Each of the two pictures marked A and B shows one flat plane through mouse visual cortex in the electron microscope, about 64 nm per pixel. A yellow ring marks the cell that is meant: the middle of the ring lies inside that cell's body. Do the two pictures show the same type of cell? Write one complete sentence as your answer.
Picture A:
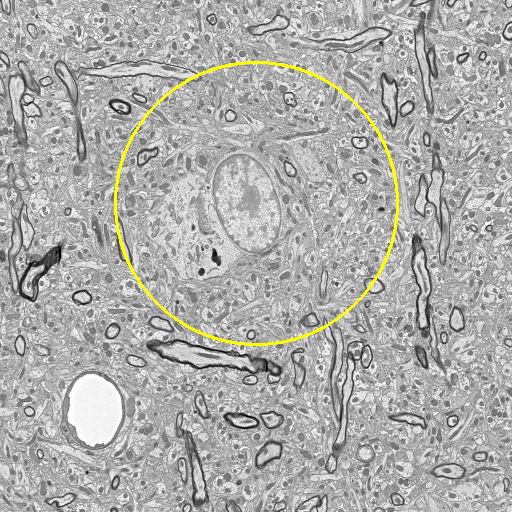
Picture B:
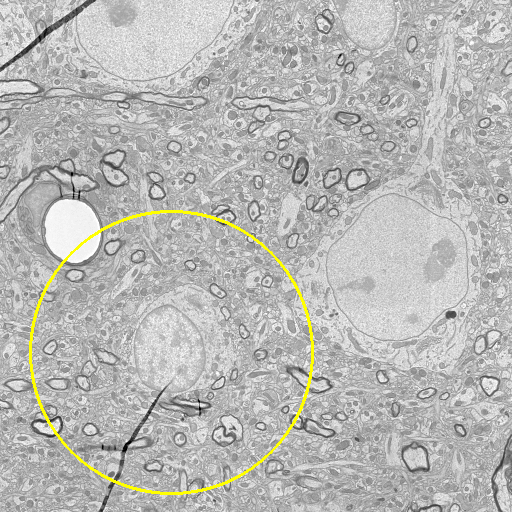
Yes, both cells are oligodendrocytes.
